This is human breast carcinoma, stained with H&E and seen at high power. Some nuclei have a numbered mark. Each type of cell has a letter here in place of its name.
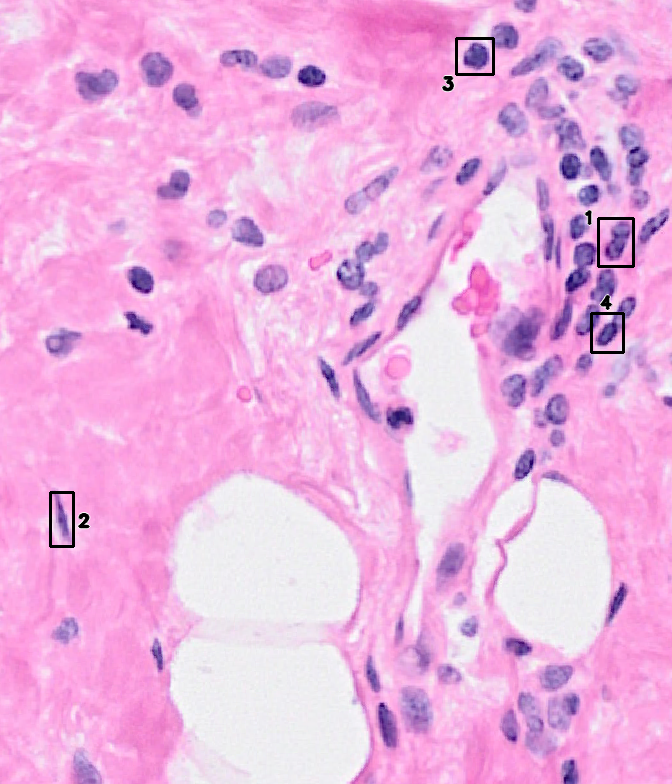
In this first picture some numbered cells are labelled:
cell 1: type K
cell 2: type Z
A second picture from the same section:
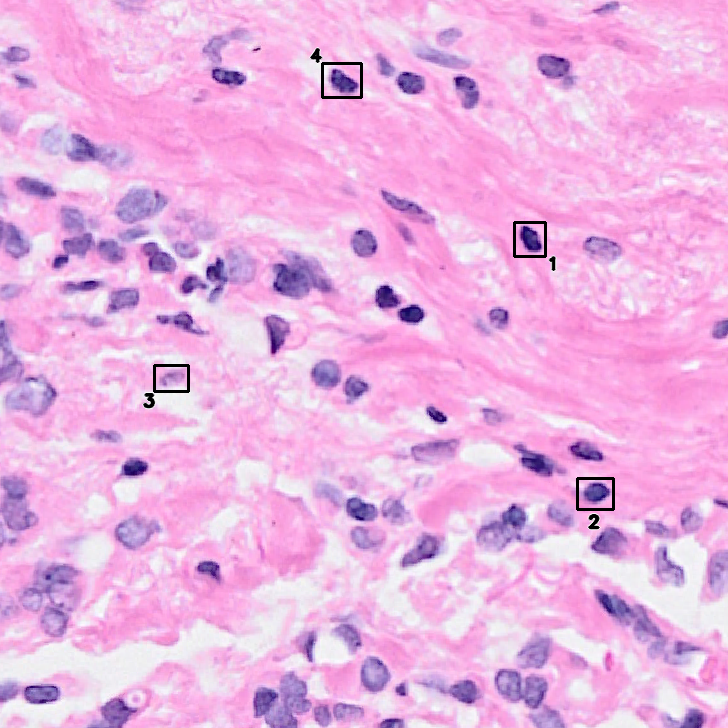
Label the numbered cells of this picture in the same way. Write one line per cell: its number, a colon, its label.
1: type K
2: type K
3: type Z
4: type K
